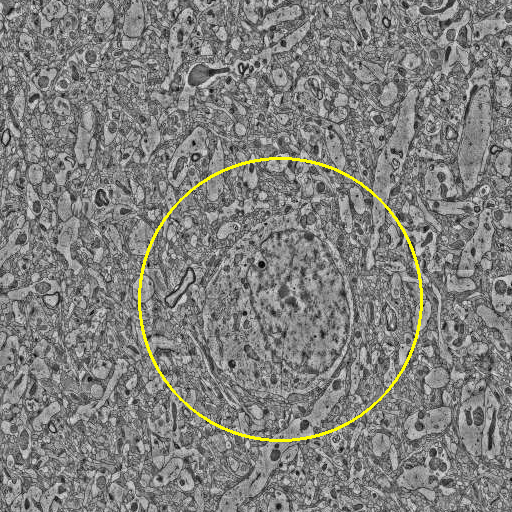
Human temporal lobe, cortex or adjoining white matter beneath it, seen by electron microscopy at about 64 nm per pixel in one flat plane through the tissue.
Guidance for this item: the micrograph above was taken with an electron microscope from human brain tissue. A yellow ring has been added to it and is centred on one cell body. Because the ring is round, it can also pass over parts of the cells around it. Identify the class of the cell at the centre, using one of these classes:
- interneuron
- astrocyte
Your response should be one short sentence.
The ring surrounds the body of an interneuron.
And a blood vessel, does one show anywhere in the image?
No, none is visible.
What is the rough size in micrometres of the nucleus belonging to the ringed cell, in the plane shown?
About 9 micrometres by about 6 micrometres in this plane.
